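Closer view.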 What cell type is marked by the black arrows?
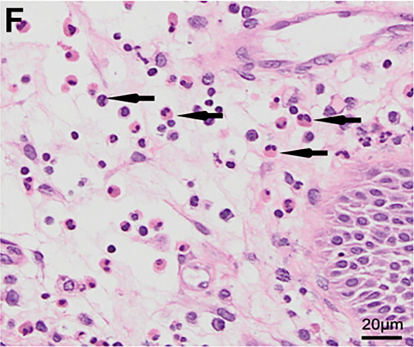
Eosinophils.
